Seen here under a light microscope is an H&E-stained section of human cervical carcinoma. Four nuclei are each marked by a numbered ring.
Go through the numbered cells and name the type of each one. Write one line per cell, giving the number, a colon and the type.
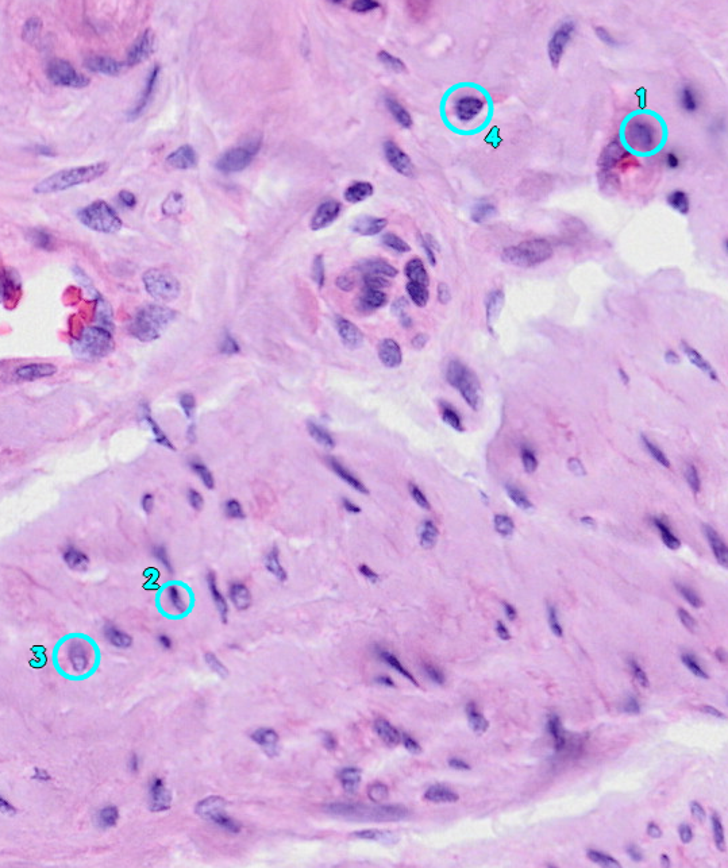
1: endothelial cell
2: fibroblast
3: smooth muscle cell
4: lymphocyte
